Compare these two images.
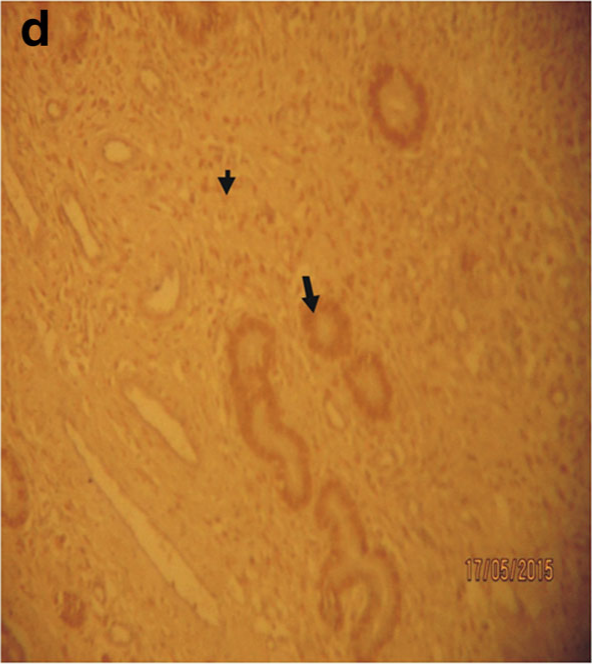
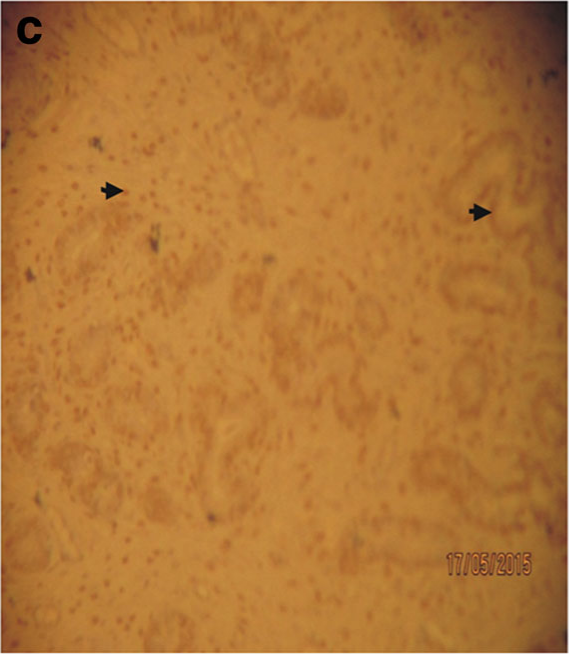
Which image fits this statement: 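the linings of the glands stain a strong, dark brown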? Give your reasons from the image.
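First image: the gland rings stand out as distinct darker brown bands against a paler stroma. Second image: the gland profiles are faint, stained only a little more than the surrounding tissue.
Answer: the first image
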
